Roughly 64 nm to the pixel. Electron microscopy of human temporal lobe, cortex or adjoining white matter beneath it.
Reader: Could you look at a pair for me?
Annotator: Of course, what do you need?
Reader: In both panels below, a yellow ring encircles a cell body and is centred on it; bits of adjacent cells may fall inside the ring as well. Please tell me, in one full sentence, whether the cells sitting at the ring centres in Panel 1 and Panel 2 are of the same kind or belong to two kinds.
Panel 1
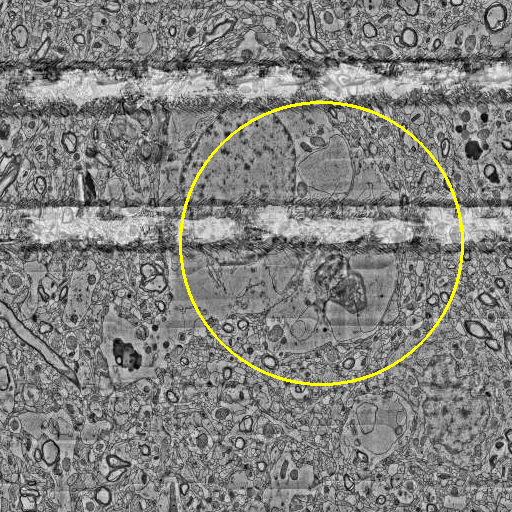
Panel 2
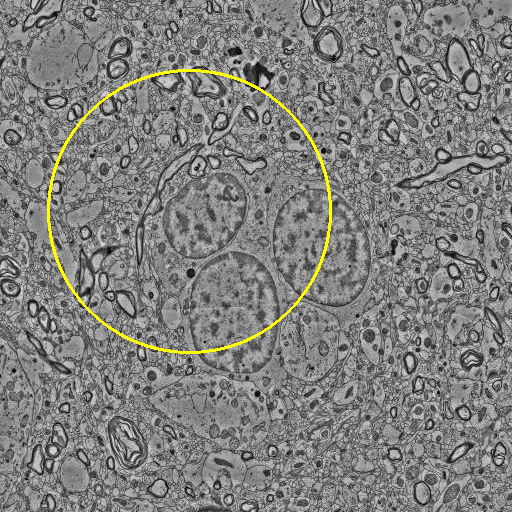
The cell at the ring's centre in Panel 1 and the one in Panel 2 belong to two kinds.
